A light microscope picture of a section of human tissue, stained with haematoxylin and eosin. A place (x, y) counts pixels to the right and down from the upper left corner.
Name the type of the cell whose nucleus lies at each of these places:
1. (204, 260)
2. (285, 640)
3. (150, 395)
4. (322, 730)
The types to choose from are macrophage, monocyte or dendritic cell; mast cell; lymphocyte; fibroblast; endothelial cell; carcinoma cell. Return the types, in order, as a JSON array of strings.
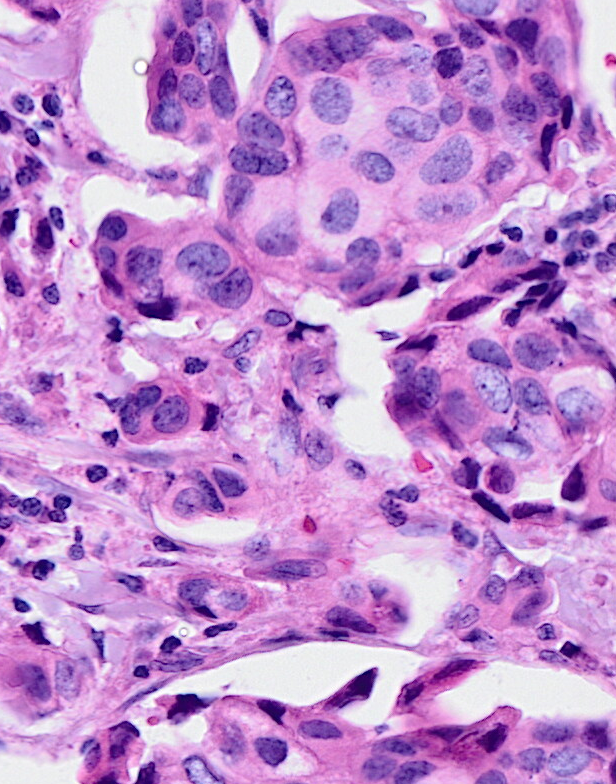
["carcinoma cell", "fibroblast", "carcinoma cell", "carcinoma cell"]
